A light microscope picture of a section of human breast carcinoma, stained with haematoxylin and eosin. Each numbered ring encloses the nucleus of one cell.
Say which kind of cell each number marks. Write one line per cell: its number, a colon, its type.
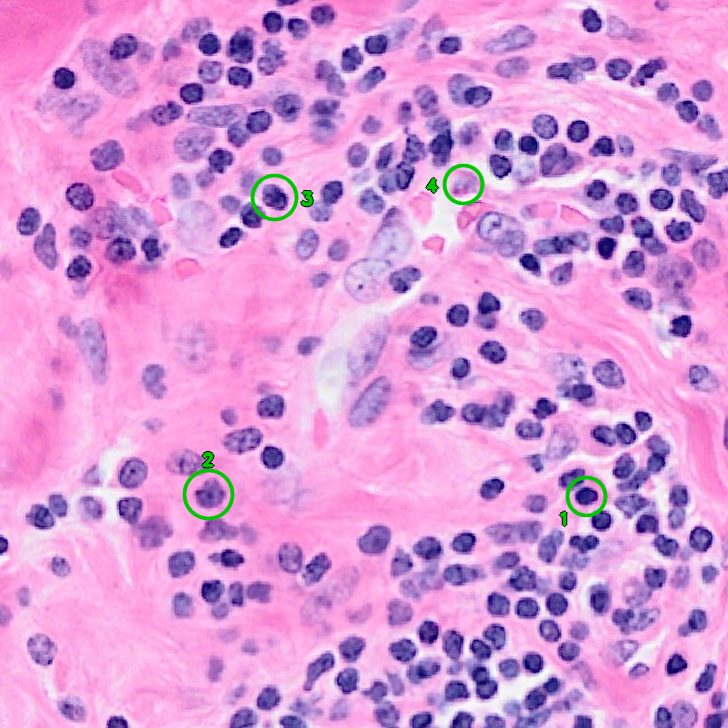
1: lymphocyte
2: lymphocyte
3: lymphocyte
4: endothelial cell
